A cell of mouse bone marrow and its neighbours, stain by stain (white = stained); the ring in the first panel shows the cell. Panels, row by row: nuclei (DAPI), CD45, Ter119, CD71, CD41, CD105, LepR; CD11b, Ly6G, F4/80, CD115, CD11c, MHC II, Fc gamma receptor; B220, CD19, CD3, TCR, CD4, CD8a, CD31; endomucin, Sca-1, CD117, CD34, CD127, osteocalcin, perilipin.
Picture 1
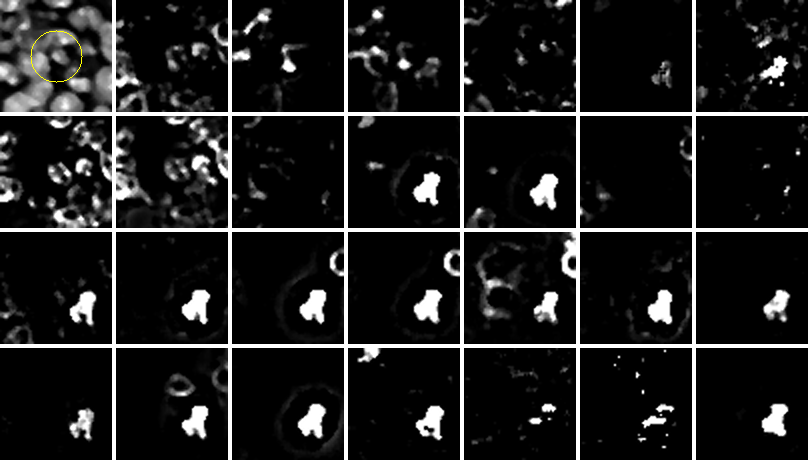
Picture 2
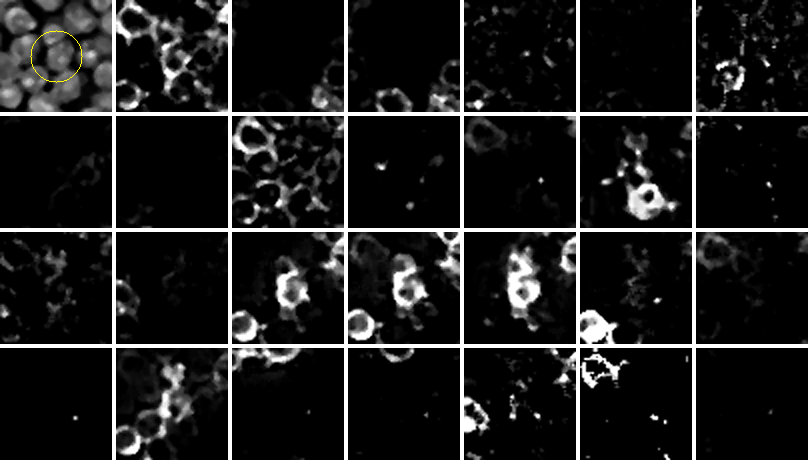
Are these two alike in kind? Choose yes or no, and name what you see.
No. First a neutrophil, second a CD4 T cell.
